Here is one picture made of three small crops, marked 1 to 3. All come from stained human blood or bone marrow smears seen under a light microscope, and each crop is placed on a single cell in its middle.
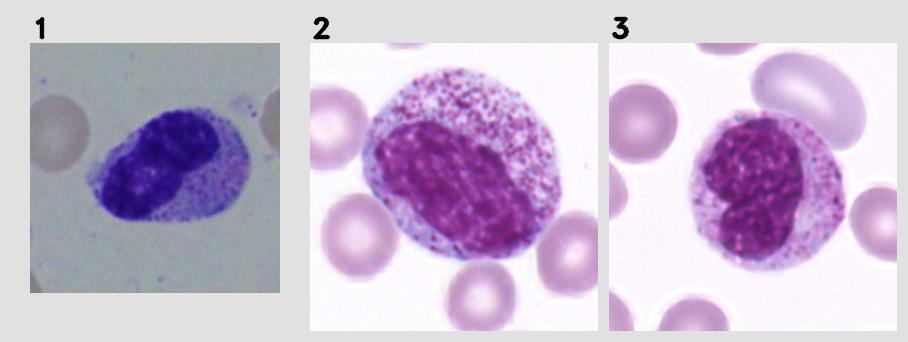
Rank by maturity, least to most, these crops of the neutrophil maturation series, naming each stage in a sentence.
In rising order of maturity, the crops are crop 2 (a myelocyte), crop 1 (a metamyelocyte) and crop 3 (a band neutrophil).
